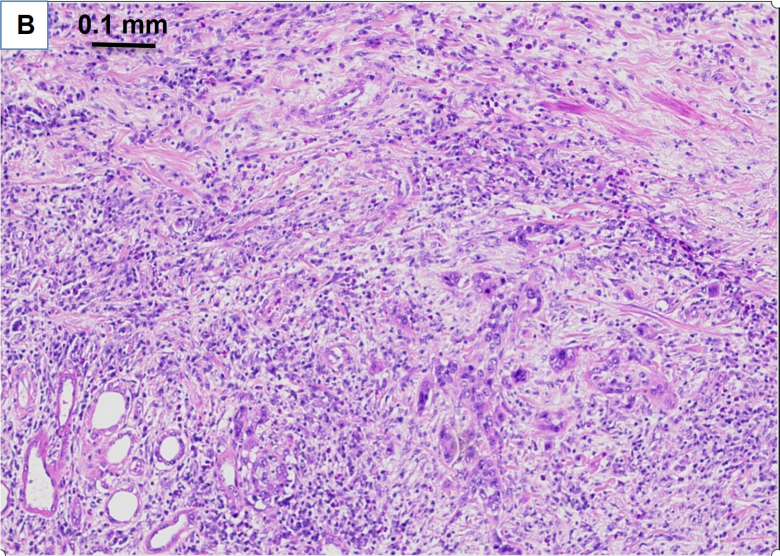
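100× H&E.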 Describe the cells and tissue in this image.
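Kidney tissue infiltrated by high grade carcinoma. At the lower left lie round renal tubules with pink cuboidal lining and open lumina. To their right and above, small irregular nests and cords of large tumour cells spread through the tissue. These cells have abundant pink cytoplasm and large, dark, irregular nuclei, some very enlarged or bizarre. Numerous small dark inflammatory cells crowd the stroma between the tumour nests and tubules. Toward the top, the collagen becomes looser and more fibrous, with fewer cells.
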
